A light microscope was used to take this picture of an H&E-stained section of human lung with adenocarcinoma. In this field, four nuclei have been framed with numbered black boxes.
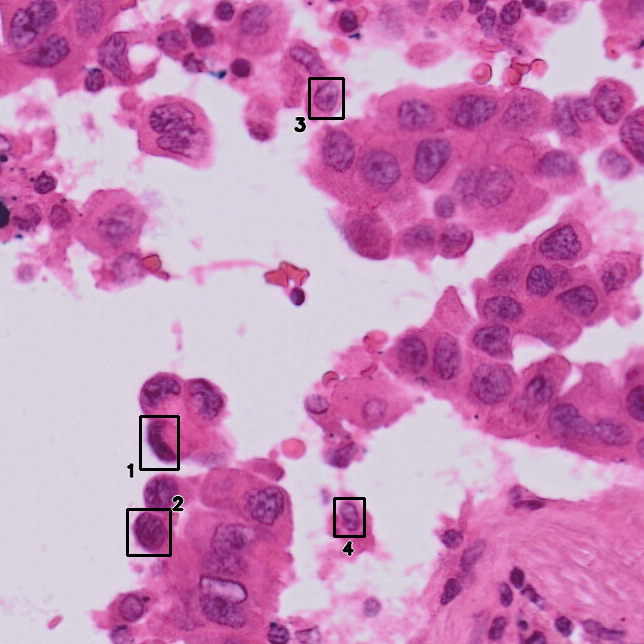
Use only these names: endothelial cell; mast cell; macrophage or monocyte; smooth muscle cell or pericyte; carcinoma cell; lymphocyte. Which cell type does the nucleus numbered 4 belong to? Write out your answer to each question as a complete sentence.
That cell with number 4 is a macrophage or monocyte.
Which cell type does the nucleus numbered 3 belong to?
The cell tagged with 3 in this tissue section is a macrophage or monocyte.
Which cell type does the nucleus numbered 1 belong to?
Within this field of view, the cell labelled 1 is a carcinoma cell.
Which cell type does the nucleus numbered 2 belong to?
The cell indicated by marker 2 is a carcinoma cell in this section.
